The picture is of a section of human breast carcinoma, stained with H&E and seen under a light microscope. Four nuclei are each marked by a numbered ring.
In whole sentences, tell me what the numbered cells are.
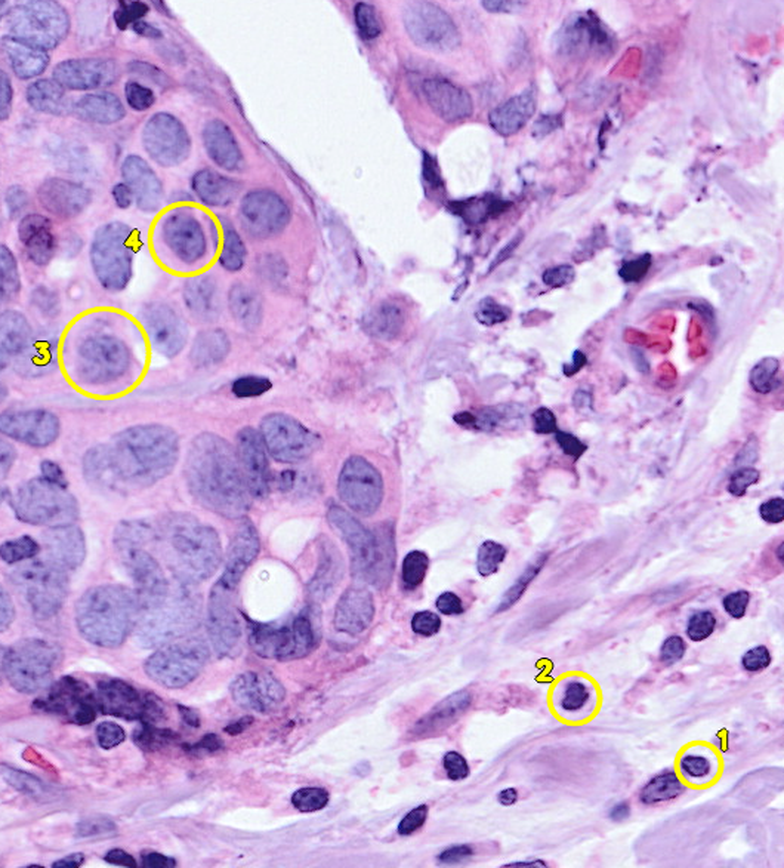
Cells 1 and 2 are lymphocytes. Cells 3 and 4 are carcinoma cells.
